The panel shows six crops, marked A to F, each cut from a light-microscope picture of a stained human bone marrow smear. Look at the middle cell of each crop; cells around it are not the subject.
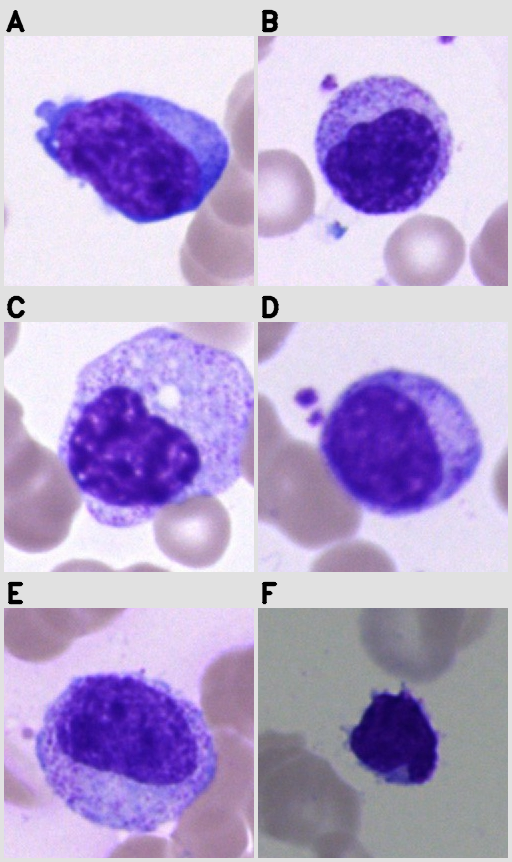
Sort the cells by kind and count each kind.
myelocyte: 4
blast: 1
lymphocyte: 1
